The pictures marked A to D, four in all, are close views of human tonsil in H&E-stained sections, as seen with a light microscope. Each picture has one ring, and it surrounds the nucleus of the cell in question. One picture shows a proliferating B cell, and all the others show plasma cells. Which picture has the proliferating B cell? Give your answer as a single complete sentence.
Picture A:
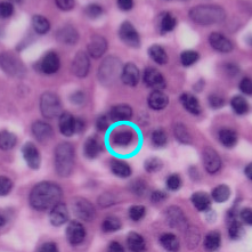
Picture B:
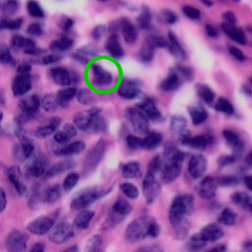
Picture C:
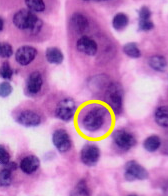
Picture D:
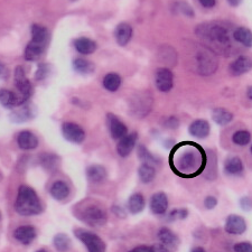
It is picture B that shows the proliferating B cell.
